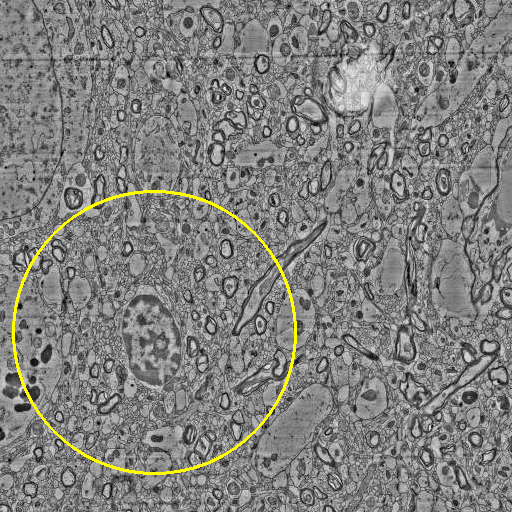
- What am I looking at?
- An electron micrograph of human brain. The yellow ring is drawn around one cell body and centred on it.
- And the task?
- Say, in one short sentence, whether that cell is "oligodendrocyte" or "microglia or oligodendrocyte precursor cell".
The cell in the middle of the ring is a microglial cell or oligodendrocyte precursor cell.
